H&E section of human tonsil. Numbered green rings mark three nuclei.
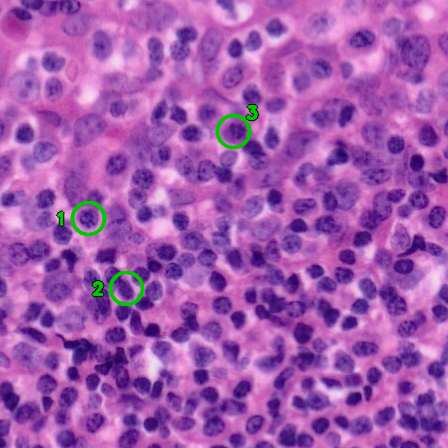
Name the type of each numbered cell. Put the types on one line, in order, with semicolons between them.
plasma cell; small lymphocyte; plasma cell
